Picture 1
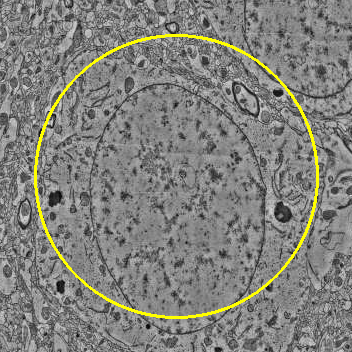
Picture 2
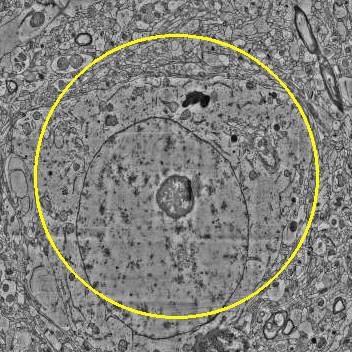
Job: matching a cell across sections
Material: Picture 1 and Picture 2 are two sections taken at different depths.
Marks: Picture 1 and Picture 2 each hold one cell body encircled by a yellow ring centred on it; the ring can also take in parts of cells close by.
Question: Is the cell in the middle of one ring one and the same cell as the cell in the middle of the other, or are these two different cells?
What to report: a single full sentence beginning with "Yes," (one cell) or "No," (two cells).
No, the rings mark separate cells, one per ring.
